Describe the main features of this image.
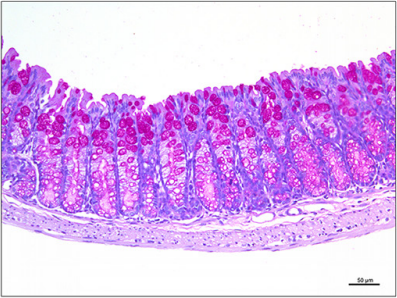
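Intestinal mucosa with straight, closely packed crypts lined by columnar epithelium in which numerous goblet cells hold rounded magenta mucin droplets, most densely toward the surface. Purple nuclei lie at the bases of the epithelial cells, and beneath the crypts lie a thin pale submucosa and a pink band of muscle.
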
